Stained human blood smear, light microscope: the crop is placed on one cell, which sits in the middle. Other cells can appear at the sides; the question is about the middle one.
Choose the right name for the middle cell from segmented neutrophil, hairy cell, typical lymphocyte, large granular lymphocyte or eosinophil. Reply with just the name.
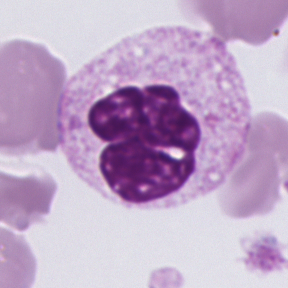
segmented neutrophil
